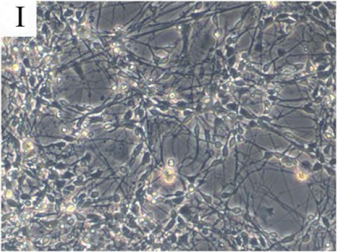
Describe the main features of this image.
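Small, phase-bright, rounded or spindle-shaped cell bodies are scattered across the dish. From them run long, thin processes that cross one another and link the cells into a loose network. Some cell bodies gather in small clumps from which several processes radiate.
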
